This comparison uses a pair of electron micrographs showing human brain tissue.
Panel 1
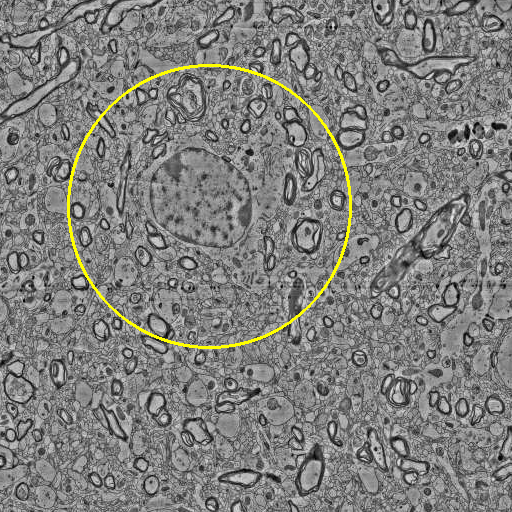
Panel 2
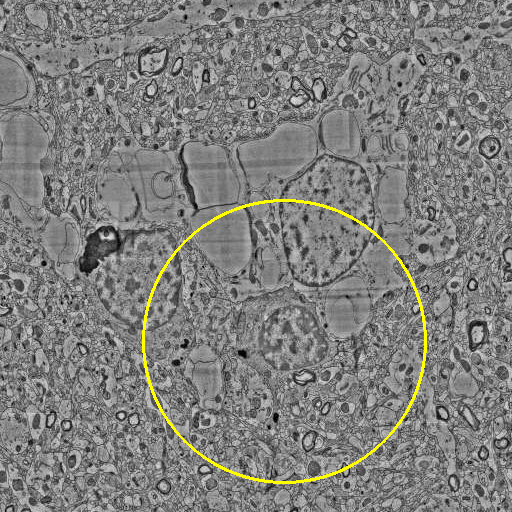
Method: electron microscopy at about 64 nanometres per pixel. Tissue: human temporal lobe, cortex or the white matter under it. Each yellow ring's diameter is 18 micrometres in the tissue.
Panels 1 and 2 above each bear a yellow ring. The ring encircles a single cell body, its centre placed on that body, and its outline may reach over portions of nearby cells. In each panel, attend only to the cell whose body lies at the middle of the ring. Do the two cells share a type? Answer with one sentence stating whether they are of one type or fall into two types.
In Panel 1 and Panel 2, the cells at the centres of the rings fall into two types.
